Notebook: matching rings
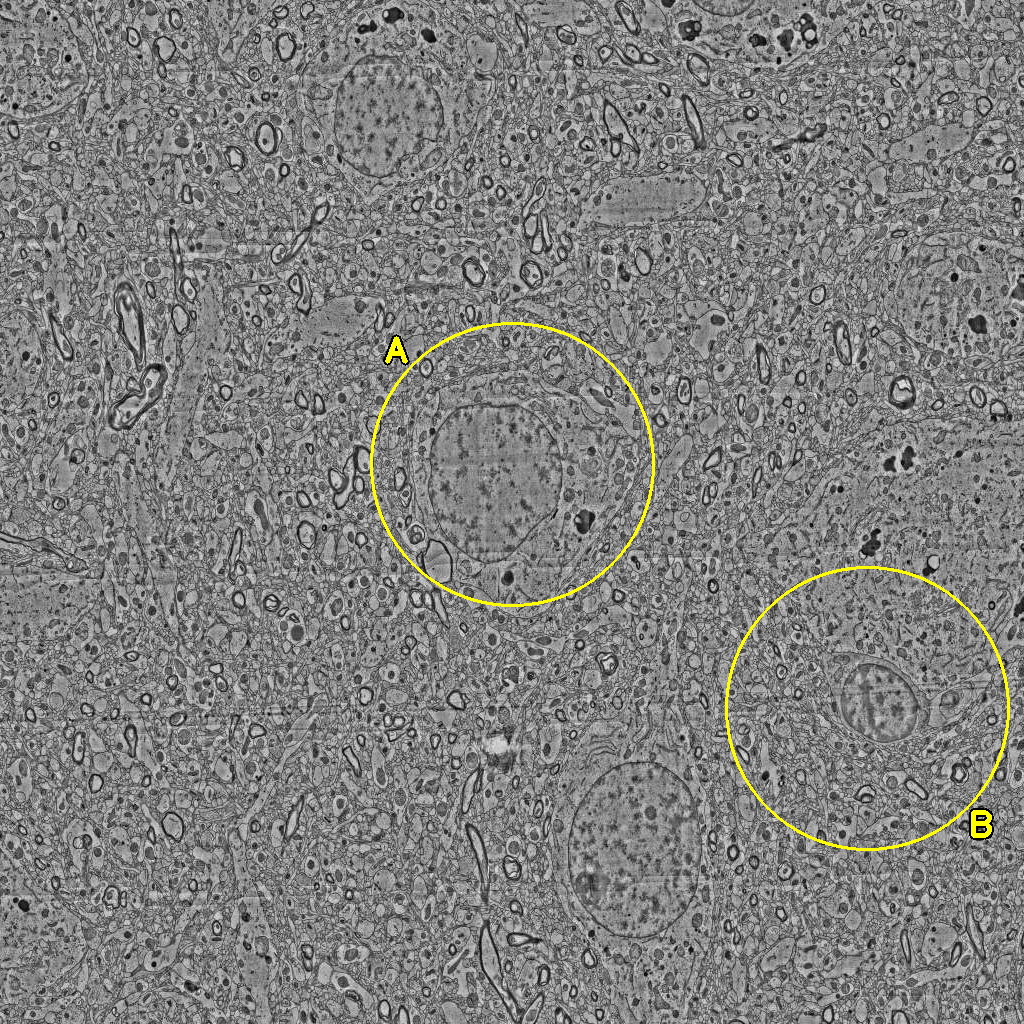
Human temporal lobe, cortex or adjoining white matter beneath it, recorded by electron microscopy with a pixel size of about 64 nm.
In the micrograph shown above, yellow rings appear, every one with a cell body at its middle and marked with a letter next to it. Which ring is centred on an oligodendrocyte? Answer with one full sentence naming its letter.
A cell of that kind lies at the centre of the ring lettered B.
